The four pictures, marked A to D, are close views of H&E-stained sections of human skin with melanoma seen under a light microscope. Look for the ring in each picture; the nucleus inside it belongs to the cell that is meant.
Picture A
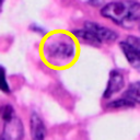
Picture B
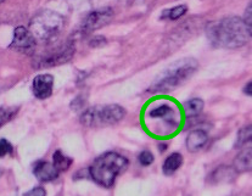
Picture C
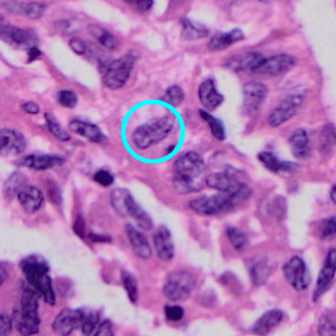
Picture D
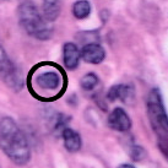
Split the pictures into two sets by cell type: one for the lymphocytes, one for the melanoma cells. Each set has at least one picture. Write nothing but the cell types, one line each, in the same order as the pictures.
melanoma cell
lymphocyte
melanoma cell
lymphocyte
